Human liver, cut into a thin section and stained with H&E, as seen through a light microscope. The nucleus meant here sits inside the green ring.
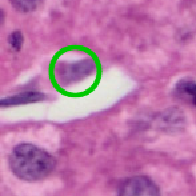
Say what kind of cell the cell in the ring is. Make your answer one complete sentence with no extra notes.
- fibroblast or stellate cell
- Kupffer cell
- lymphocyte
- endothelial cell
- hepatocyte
In cellular terms, the cell in the ring is a Kupffer cell.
